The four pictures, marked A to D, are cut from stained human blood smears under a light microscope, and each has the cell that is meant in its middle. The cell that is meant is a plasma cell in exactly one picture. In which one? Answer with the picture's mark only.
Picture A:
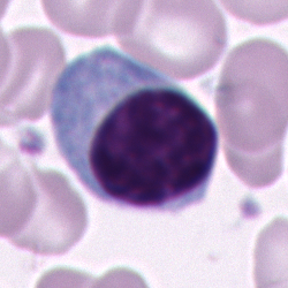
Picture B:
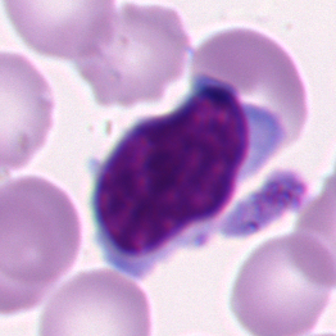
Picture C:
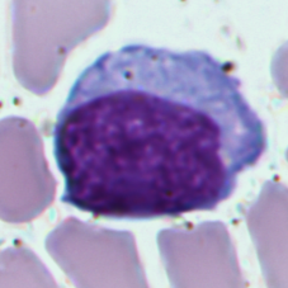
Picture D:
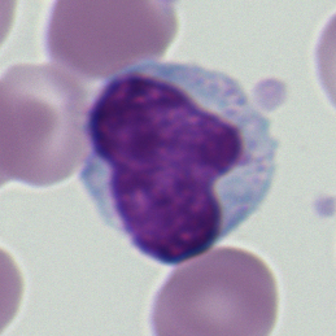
C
